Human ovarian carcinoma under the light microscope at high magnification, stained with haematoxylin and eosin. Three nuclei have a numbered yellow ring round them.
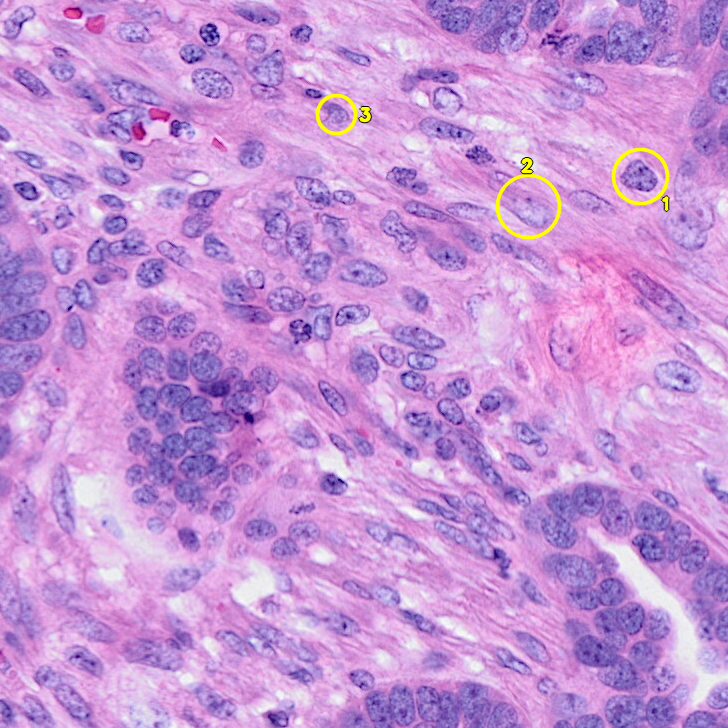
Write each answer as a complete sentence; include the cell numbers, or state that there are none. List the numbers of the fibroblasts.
Identified as fibroblasts are the cells numbered 2 and 3.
